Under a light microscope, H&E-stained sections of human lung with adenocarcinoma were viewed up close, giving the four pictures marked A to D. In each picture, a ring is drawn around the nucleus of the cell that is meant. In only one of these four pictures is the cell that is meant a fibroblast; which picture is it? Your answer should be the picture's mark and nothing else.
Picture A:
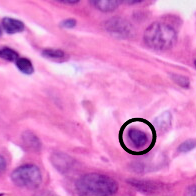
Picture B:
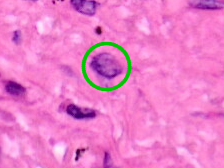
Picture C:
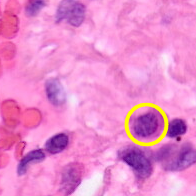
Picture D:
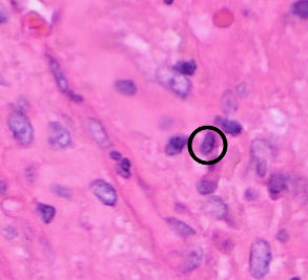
B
